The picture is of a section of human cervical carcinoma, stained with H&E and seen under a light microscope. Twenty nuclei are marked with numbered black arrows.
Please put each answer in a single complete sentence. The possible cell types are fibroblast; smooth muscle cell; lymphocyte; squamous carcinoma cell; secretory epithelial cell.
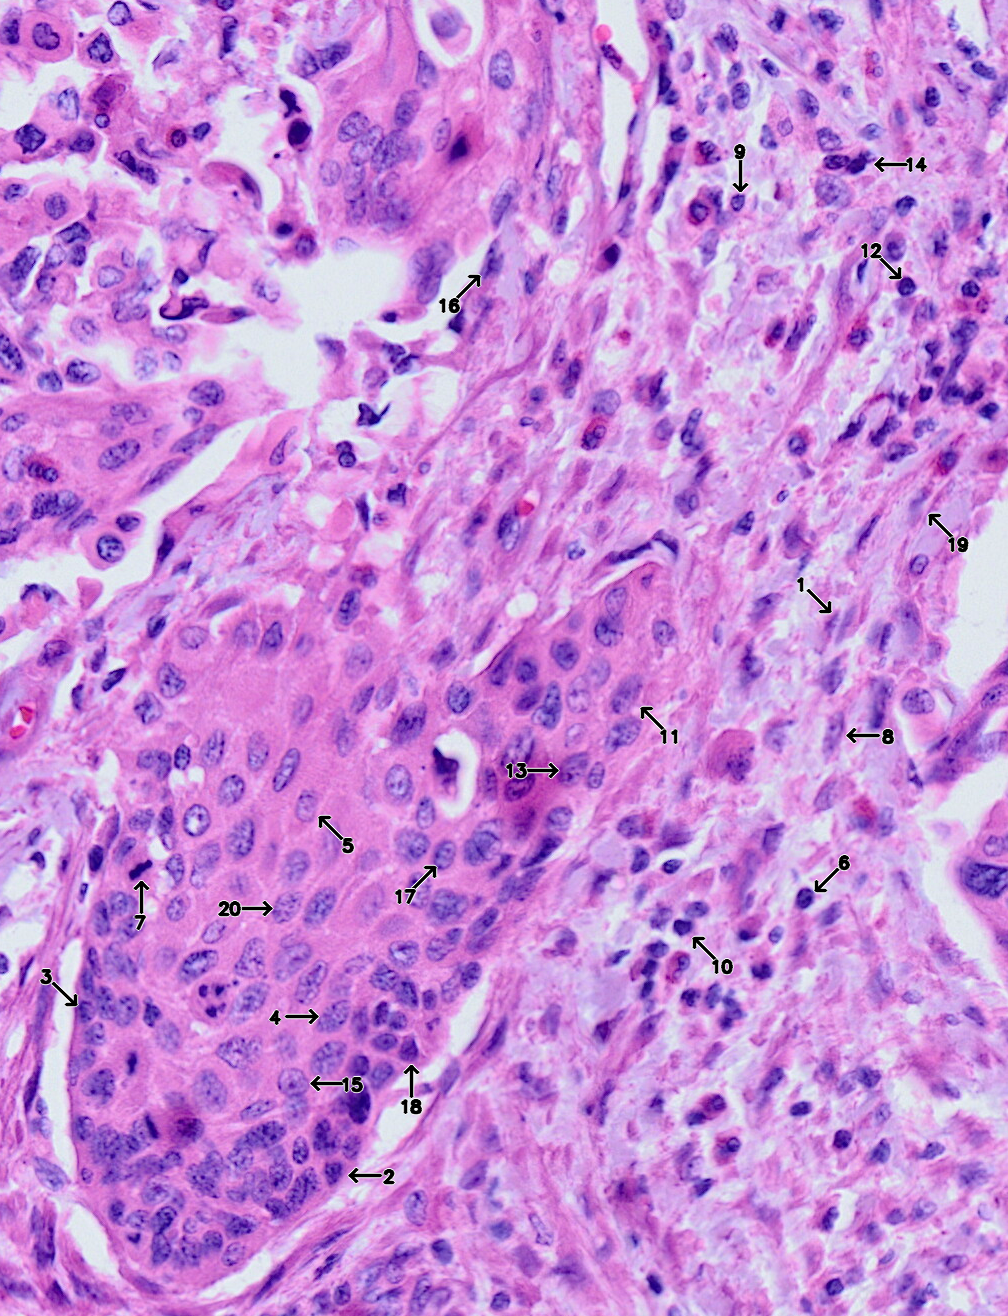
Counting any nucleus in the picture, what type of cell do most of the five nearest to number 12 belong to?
Fibroblasts account for more than half of the five nuclei nearest to number 12.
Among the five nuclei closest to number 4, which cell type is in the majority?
The majority of the five nuclei closest to number 4 belong to squamous carcinoma cells.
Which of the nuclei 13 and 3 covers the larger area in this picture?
Number 13 is larger; its area is about 2 times that of number 3.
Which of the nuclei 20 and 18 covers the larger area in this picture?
Nucleus 20 is the larger one, covering about 2 times the area of nucleus 18.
